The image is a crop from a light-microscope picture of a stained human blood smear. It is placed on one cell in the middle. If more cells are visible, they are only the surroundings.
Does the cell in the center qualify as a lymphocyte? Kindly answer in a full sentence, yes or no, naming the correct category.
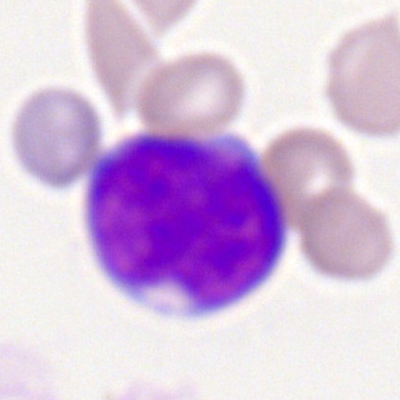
No, wrong label: the middle cell is a myeloblast instead of a lymphocyte.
